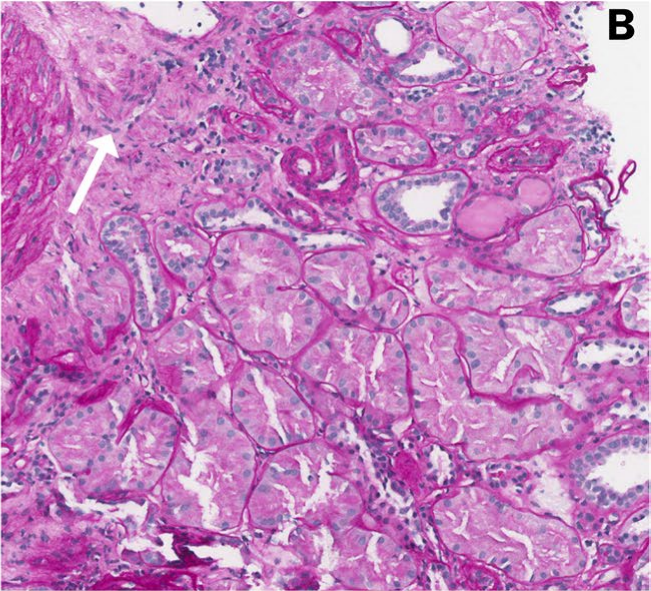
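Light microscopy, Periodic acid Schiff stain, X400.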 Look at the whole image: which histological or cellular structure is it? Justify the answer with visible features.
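Many round to oval profiles lined by a single layer of epithelial cells. Each profile is outlined by a thin magenta basement membrane. Some lumens are open and a few contain homogeneous pink material. So: renal tubules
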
